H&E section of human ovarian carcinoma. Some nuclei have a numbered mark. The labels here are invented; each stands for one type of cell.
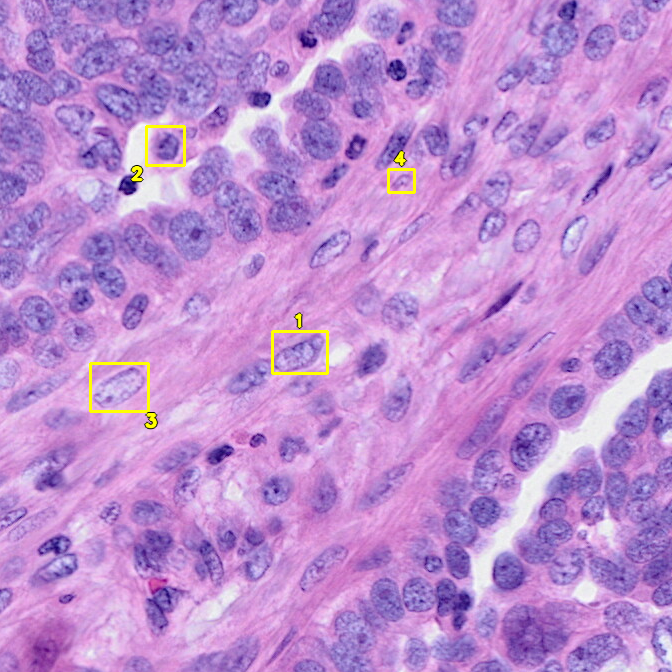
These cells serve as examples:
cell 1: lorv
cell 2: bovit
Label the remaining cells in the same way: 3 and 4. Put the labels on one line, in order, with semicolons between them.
lorv; lorv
